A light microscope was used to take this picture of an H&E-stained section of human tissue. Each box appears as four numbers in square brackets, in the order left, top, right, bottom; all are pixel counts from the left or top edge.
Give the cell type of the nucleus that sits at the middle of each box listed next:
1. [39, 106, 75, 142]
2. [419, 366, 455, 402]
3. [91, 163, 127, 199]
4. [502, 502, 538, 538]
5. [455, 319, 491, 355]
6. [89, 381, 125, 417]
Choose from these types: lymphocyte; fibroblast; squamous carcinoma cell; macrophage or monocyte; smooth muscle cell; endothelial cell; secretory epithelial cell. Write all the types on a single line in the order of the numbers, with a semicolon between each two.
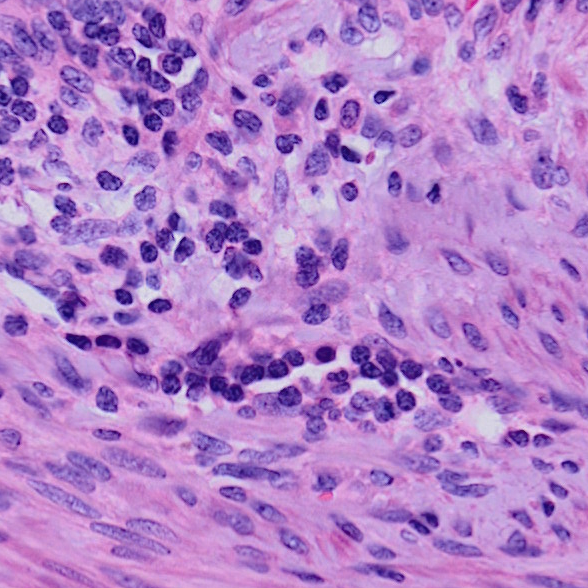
lymphocyte; lymphocyte; lymphocyte; smooth muscle cell; smooth muscle cell; lymphocyte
